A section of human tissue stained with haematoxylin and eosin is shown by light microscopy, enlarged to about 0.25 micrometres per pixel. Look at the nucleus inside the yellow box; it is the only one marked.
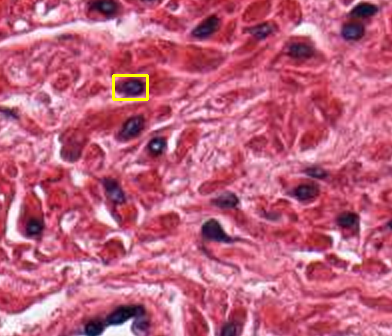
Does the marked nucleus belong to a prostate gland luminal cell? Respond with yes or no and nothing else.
no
